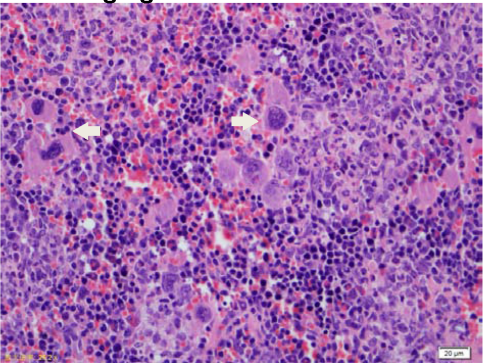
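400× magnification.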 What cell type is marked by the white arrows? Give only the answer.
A: Megakaryocytes.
